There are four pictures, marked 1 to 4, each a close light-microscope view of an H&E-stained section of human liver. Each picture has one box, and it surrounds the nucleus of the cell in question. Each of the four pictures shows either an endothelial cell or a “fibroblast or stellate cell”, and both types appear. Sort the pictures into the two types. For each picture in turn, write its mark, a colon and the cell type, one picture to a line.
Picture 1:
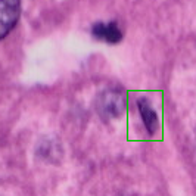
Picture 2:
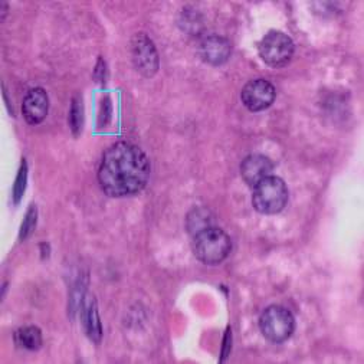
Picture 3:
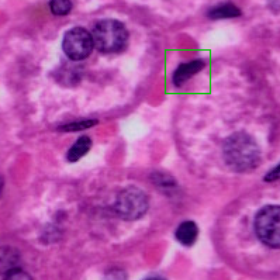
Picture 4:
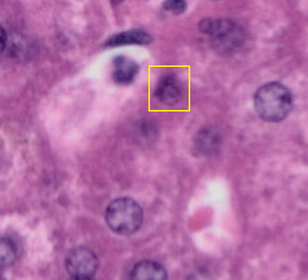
1: endothelial cell
2: fibroblast or stellate cell
3: endothelial cell
4: fibroblast or stellate cell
